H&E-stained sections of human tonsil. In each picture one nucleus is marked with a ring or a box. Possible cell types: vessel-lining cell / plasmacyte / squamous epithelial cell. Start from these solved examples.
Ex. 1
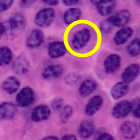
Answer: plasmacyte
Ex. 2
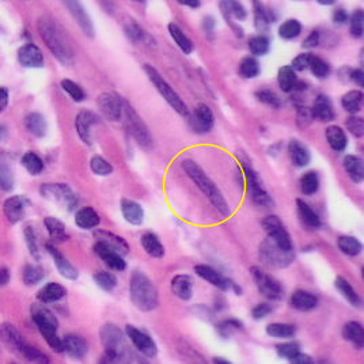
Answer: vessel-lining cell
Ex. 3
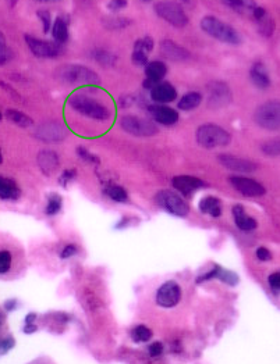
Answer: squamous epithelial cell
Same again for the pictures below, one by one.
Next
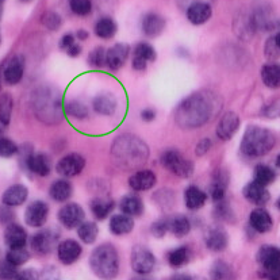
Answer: vessel-lining cell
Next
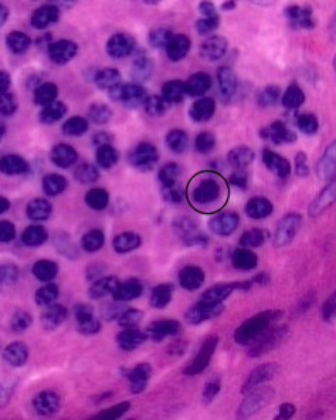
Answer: plasmacyte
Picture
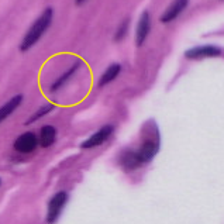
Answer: squamous epithelial cell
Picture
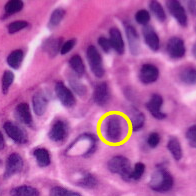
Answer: squamous epithelial cell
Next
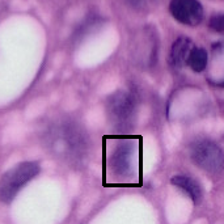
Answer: squamous epithelial cell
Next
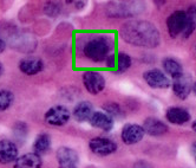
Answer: vessel-lining cell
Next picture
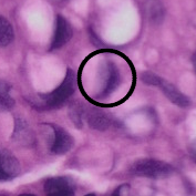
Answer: squamous epithelial cell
